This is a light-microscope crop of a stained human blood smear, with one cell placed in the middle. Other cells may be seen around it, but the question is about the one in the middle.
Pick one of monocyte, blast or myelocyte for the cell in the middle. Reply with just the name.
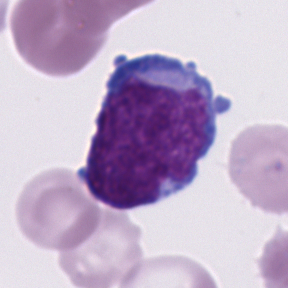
blast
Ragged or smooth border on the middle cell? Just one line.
This cell does not have a smooth edge; it is ragged or extended into projections.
